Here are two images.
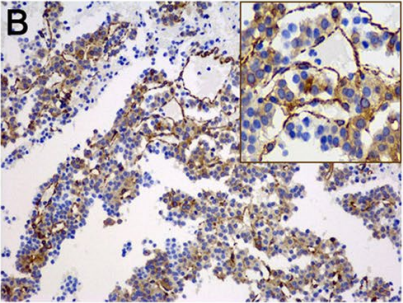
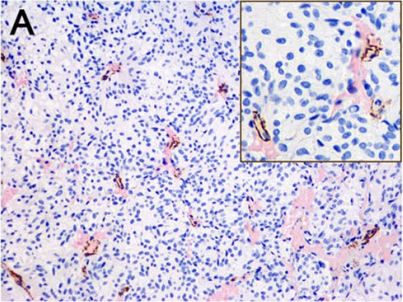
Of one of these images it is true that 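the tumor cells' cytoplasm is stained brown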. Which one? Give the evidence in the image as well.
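The first image. First image: tumor cells show light-to-moderate brown cytoplasm with dark brown lines between cell groups. Second image: tumor cells are blue-nucleated with pale unstained cytoplasm; brown is confined to thin streaks.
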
